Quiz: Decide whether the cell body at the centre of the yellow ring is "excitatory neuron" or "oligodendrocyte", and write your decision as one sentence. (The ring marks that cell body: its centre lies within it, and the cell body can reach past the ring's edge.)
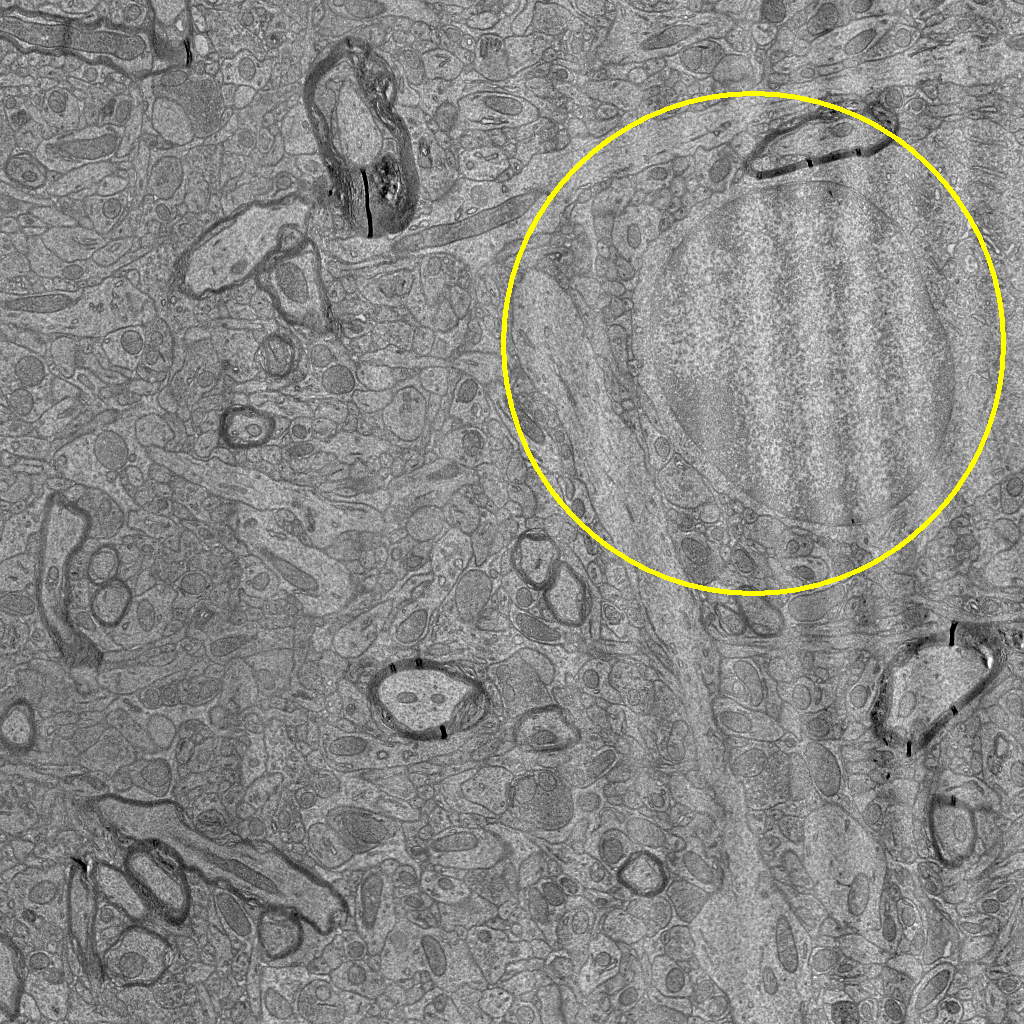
The cell holding the ring's centre is an oligodendrocyte.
